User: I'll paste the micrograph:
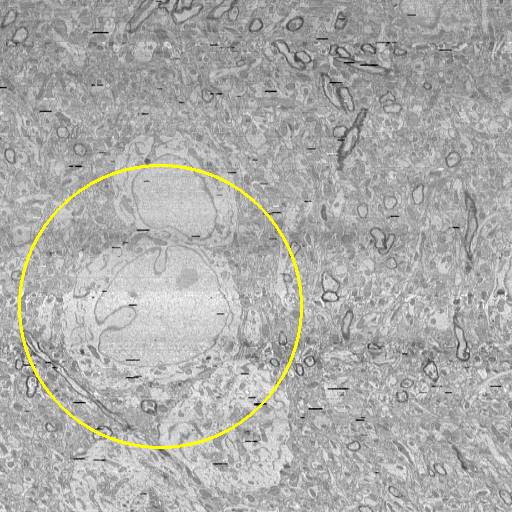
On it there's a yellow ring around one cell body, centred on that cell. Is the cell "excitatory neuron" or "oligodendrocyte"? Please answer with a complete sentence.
The cell ringed in yellow is an excitatory neuron.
